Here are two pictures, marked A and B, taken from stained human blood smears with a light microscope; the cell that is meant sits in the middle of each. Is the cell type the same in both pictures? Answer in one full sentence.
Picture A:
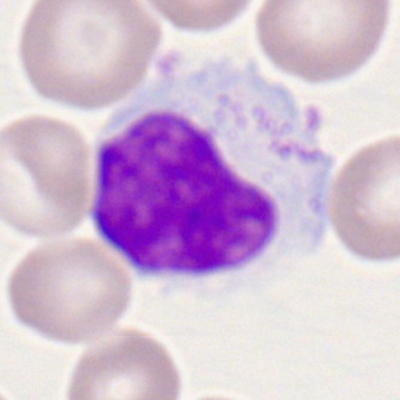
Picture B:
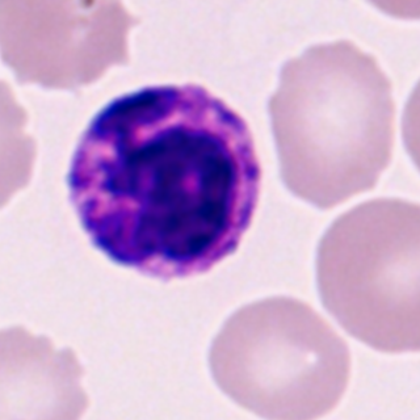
No; the cell in picture A is a lymphocyte, while the one in picture B is a basophil.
